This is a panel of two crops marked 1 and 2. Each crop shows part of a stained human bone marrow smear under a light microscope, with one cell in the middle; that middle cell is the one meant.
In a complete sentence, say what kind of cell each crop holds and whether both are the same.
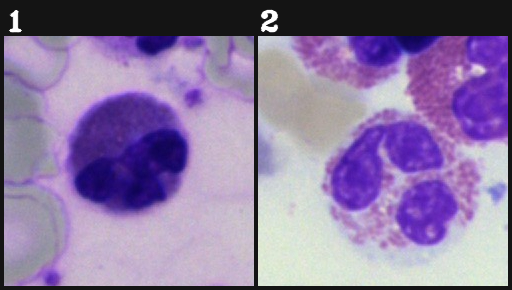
Yes, the two crops show eosinophils, one cell each.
